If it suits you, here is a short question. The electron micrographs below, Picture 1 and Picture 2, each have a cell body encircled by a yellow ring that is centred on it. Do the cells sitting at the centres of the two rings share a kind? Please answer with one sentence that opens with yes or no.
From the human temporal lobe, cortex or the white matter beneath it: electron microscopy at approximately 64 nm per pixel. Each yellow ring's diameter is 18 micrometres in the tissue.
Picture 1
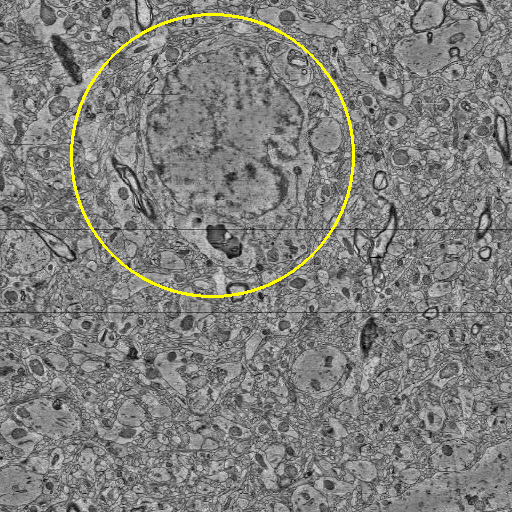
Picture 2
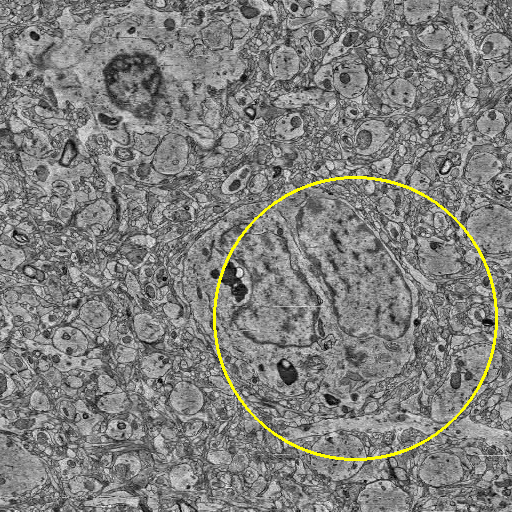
No, the two cells sitting at the ring centres fall into two kinds.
